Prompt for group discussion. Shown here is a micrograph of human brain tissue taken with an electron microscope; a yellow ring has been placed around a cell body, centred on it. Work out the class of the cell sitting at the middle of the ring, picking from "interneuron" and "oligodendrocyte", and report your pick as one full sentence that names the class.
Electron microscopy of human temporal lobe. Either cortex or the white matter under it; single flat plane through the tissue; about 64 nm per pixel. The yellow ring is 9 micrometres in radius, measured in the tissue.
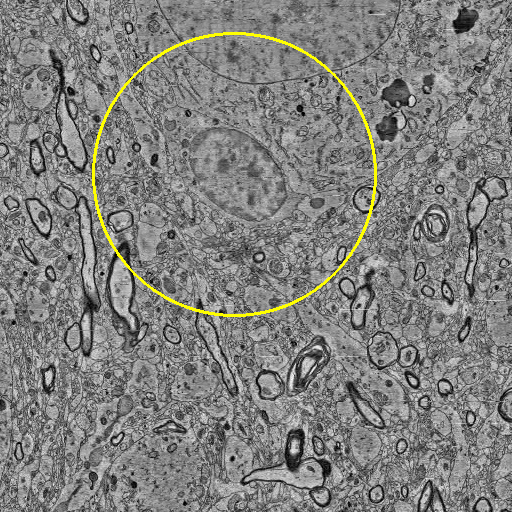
The cell sitting at the middle of the yellow ring is an oligodendrocyte.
